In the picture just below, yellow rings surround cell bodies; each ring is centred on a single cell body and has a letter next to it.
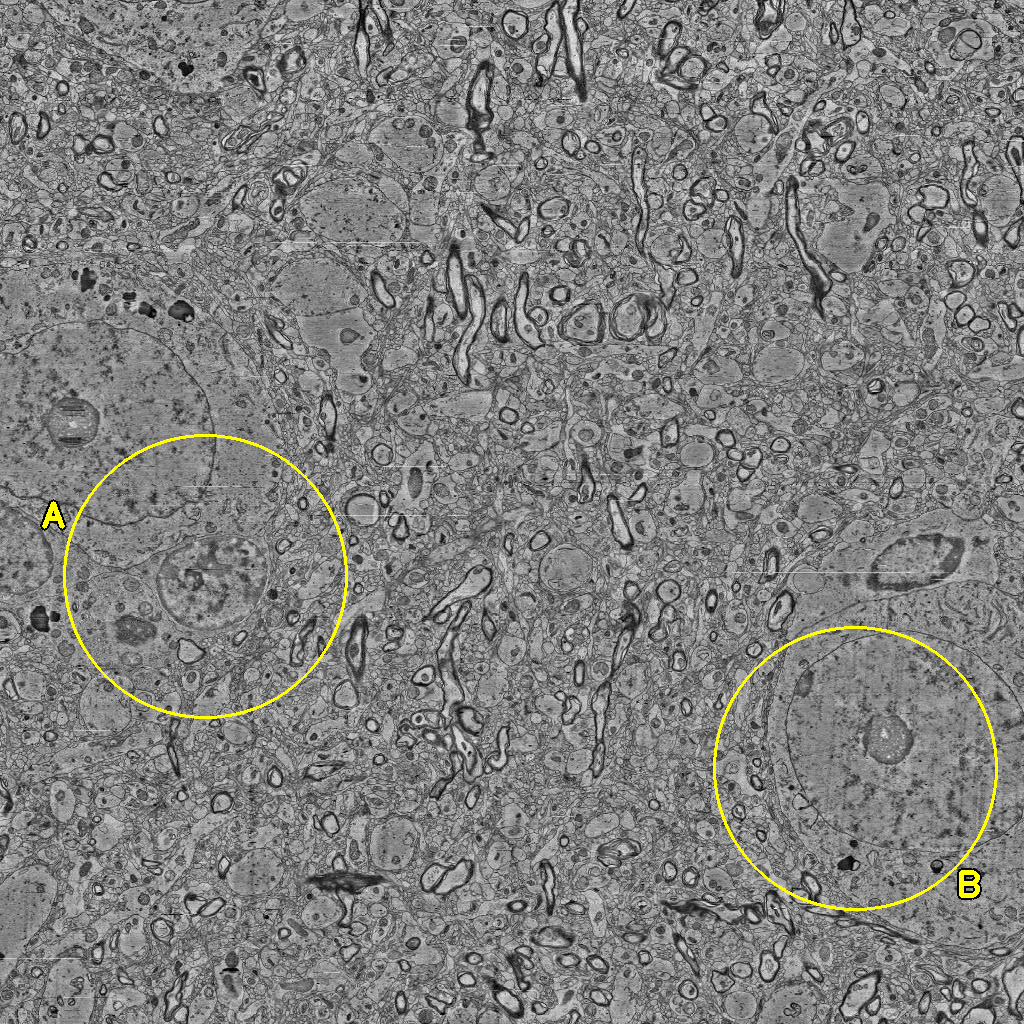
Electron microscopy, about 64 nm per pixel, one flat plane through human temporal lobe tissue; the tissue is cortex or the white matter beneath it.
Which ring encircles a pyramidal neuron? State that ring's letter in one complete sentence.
The letter B marks the ring centred on the cell asked for in the picture.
